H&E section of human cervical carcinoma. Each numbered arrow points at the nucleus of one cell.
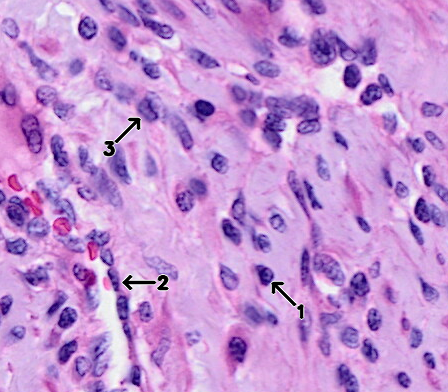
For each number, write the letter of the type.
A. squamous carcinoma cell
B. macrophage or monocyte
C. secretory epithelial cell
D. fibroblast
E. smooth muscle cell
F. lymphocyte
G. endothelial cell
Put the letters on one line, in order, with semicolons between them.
F; G; F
